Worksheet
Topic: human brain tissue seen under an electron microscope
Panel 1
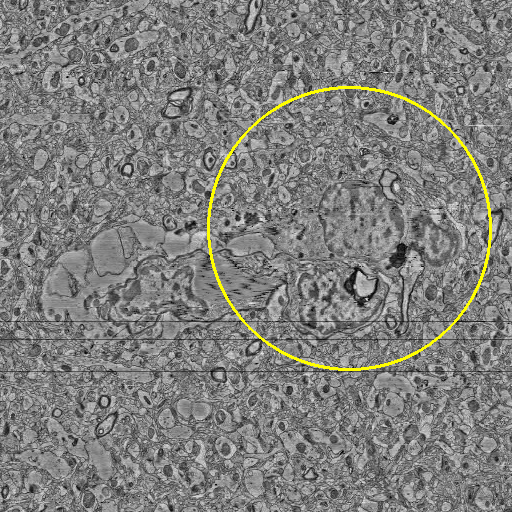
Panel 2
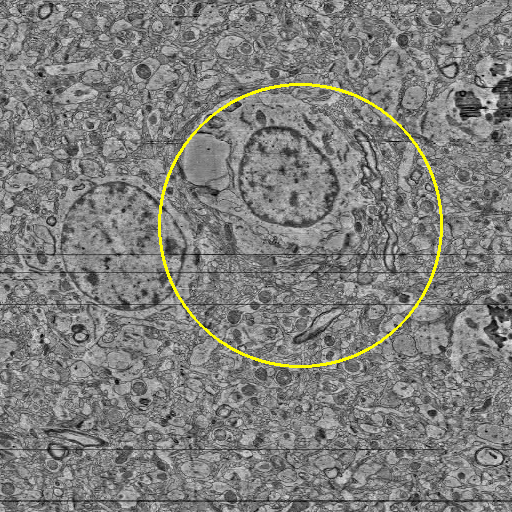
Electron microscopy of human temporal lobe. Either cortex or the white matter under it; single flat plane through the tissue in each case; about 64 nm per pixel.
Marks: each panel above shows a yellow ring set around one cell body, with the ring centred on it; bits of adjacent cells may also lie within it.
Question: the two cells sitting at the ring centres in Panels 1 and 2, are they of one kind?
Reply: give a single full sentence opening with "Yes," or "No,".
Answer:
No, the two ring-centre cells in Panel 1 and Panel 2 are of two kinds.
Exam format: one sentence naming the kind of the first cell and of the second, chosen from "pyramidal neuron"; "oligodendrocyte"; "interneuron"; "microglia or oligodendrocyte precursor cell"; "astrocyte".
The first picture's cell is an oligodendrocyte, and the second picture's cell is an astrocyte.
